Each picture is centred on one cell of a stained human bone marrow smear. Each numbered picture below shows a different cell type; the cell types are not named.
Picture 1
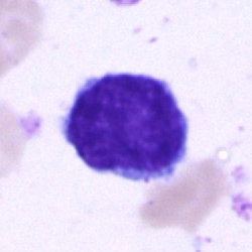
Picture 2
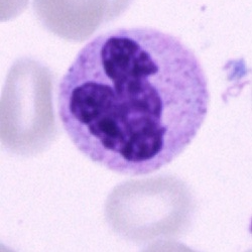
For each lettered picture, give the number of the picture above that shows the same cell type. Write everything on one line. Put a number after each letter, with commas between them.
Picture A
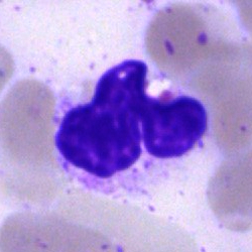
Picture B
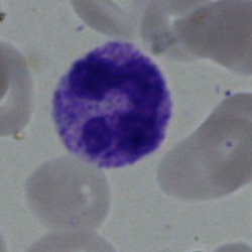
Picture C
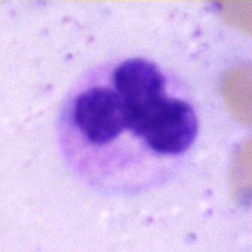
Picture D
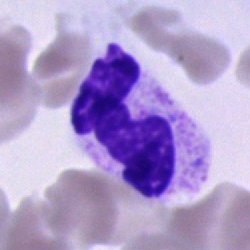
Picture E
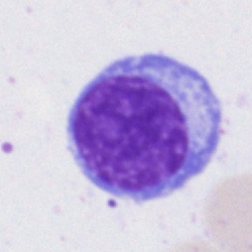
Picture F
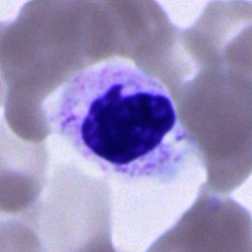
A 2, B 2, C 2, D 2, E 1, F 2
